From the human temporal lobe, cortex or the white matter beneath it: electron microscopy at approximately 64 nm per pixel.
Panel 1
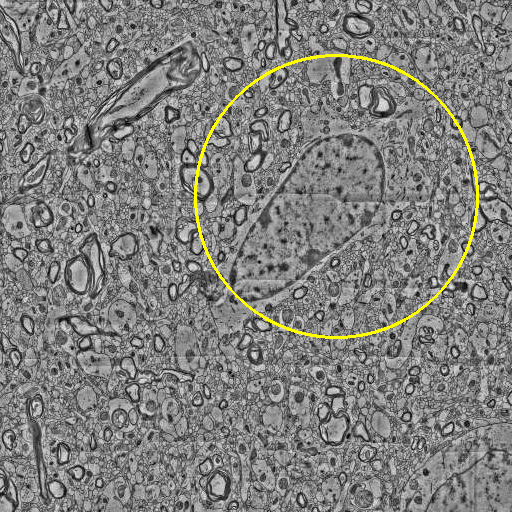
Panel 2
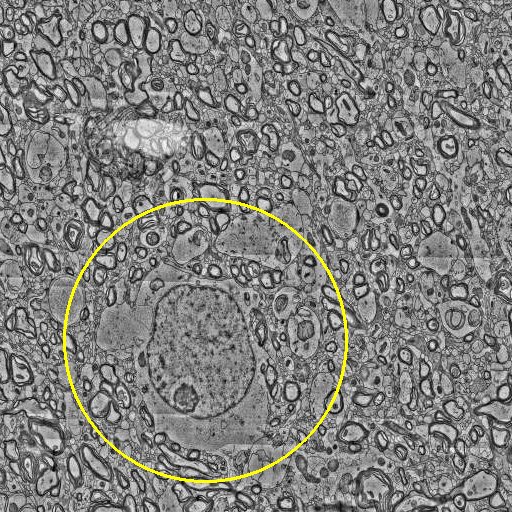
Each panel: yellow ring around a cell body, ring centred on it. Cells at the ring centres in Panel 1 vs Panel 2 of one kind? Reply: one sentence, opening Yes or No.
No, Panel 1 and Panel 2 have cells of two kinds at the ring centres.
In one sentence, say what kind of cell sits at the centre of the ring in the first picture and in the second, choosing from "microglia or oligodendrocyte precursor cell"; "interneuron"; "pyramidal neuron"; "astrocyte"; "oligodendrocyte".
The first picture's ringed cell is a microglial cell or oligodendrocyte precursor cell, while the second picture's is an astrocyte.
